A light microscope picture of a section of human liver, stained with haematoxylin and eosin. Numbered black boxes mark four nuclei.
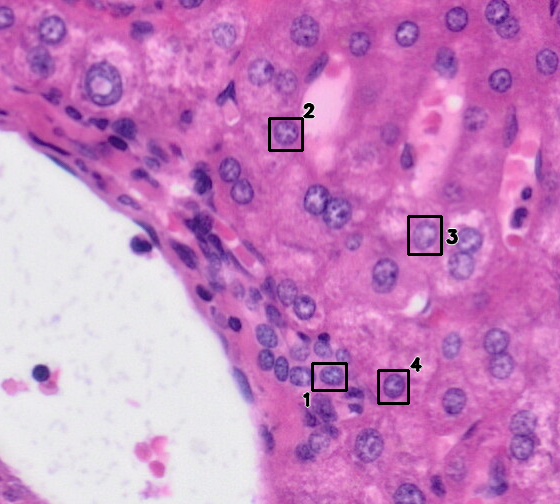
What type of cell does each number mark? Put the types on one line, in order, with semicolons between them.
cholangiocyte; hepatocyte; hepatocyte; hepatocyte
